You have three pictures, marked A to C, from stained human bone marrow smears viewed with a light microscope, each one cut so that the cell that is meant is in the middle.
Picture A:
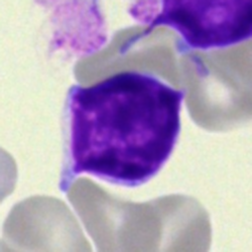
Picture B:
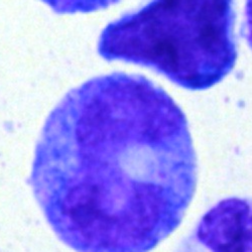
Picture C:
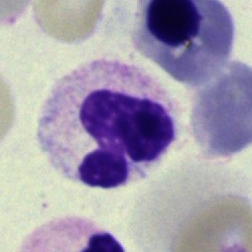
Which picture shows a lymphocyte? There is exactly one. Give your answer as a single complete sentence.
The picture with the lymphocyte is A.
